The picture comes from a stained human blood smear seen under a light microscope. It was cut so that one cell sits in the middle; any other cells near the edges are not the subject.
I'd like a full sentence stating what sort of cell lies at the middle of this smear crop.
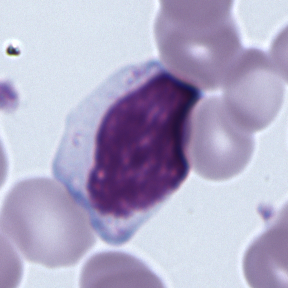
The centrally located cell in the crop is a large granular lymphocyte.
